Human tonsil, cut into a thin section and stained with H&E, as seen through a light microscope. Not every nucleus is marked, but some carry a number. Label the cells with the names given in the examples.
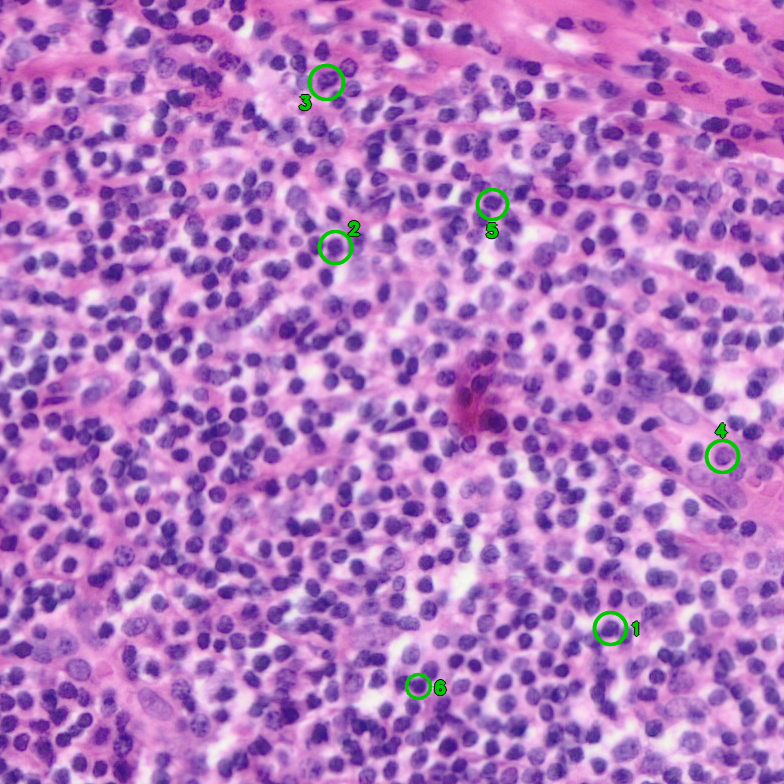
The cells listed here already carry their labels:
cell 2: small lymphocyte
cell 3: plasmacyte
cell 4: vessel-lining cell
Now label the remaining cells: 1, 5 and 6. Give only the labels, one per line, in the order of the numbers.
small lymphocyte
small lymphocyte
small lymphocyte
